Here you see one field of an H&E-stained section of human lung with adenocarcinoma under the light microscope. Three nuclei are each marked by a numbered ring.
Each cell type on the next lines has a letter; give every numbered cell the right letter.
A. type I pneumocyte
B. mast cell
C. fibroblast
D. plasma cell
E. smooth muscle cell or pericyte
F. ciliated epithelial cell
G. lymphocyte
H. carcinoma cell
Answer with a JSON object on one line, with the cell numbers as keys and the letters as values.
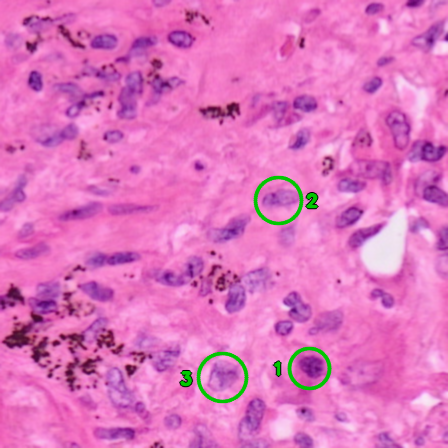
{"1": "D", "2": "C", "3": "C"}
